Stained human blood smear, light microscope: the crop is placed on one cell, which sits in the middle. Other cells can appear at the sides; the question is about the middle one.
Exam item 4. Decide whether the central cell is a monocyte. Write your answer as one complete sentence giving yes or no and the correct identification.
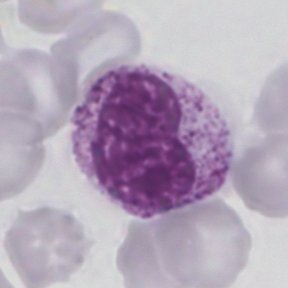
No, the central cell is reported as a metamyelocyte rather than as a monocyte.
